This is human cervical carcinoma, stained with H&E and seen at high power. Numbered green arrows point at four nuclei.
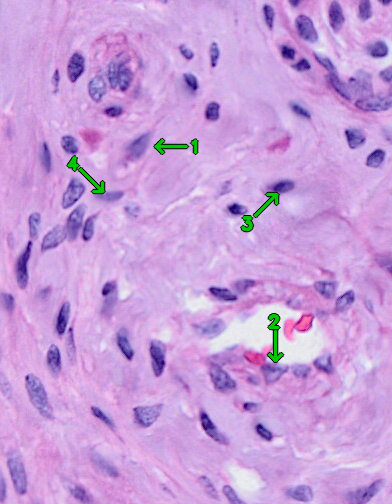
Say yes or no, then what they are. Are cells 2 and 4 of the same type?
No, cell 2 is an endothelial cell, and cell 4, in contrast, is a fibroblast.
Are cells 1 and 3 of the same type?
Yes, regarding cells 1 and 3, both are fibroblasts.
